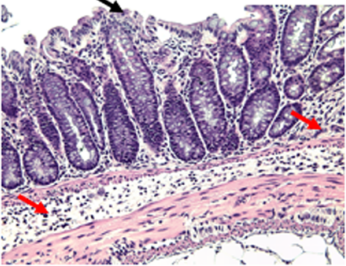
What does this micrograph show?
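A section of colon wall shows long purple-staining crypts in the mucosa above a band of pink smooth muscle. The crypts are unevenly spaced and partly distorted, and at the top the surface lining is irregular and broken. Between the crypt bases and the muscle, the tissue is crowded with many small dark nuclei of infiltrating inflammatory cells. This picture fits damaged, inflamed colonic mucosa.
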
